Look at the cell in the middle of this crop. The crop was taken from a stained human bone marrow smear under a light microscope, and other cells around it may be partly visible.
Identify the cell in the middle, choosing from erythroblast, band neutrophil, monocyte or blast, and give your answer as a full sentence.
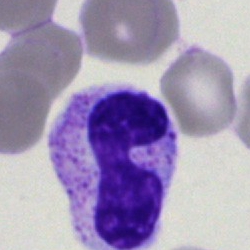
The cell occupying the middle of the crop is a band neutrophil.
